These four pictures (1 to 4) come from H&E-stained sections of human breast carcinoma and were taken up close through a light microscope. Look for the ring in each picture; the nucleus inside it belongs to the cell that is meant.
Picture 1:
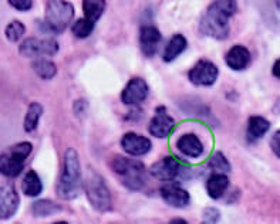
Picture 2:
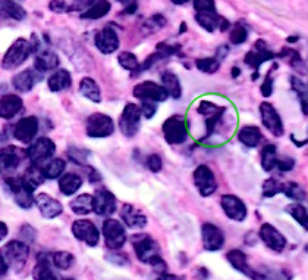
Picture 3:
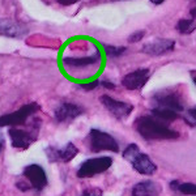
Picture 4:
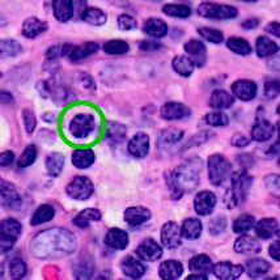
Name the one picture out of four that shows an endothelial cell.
3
